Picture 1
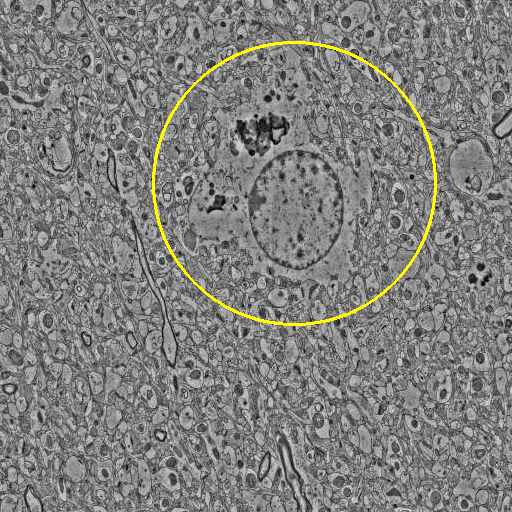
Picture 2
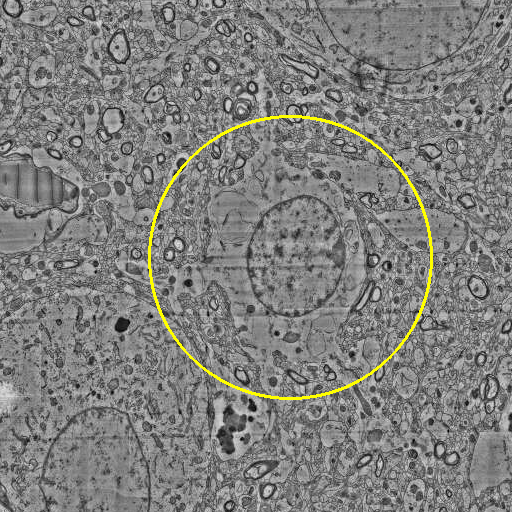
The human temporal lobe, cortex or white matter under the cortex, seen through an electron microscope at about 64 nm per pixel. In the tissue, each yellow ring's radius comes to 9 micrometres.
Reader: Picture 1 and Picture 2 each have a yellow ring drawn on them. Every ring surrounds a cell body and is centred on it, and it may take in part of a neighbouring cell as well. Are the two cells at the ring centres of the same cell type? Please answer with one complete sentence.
Yes, both cells are of the same cell type.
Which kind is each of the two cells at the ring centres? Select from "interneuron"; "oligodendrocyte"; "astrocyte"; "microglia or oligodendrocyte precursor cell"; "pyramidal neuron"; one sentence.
The first and the second cell are each an astrocyte.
